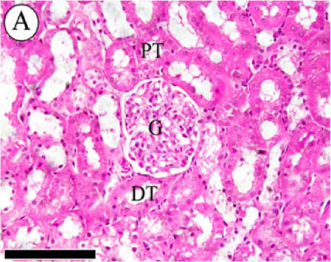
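This is kidney cortex with a glomerulus at the center surrounded by cross-sections of convoluted tubules. The glomerulus is a rounded tuft of capillary loops with many small dark nuclei, held within a thin capsule with a narrow clear space around it. The tubules around it are lined by cuboidal cells with pink cytoplasm and round nuclei. Some tubules have tall, deeply pink cells and narrow, fuzzy lumens, while others have paler cells and wider, clearer lumens. The tubules are packed closely with little tissue between them.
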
